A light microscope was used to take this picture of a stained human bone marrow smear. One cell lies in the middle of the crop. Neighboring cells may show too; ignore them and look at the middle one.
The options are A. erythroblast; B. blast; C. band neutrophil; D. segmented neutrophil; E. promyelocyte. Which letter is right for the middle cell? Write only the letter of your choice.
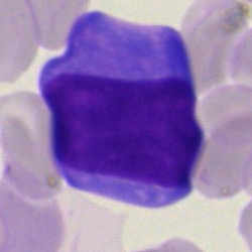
B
